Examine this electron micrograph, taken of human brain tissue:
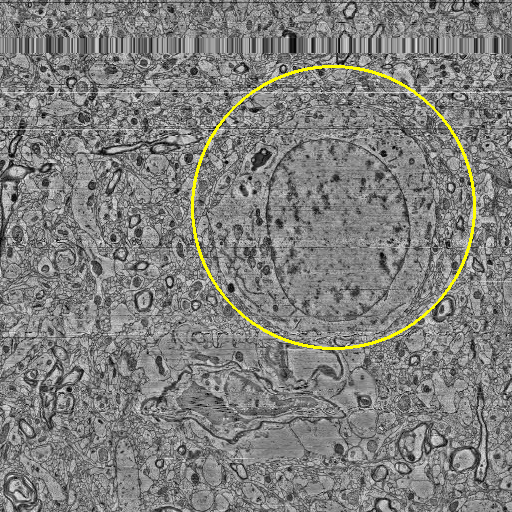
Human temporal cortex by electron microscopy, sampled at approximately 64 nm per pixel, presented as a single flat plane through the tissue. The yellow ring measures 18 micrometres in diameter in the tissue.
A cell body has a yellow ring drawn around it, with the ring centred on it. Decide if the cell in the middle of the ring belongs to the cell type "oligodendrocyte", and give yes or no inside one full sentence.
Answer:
No, the cell at the centre of the yellow ring in this picture is of a different type.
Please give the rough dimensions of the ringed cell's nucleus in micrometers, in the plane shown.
The nucleus comes to roughly 12 by 9 micrometres in this plane.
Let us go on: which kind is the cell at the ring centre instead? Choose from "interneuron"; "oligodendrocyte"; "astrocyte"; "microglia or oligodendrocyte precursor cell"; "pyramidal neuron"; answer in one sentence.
In this picture, the ring is centred on a pyramidal neuron.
